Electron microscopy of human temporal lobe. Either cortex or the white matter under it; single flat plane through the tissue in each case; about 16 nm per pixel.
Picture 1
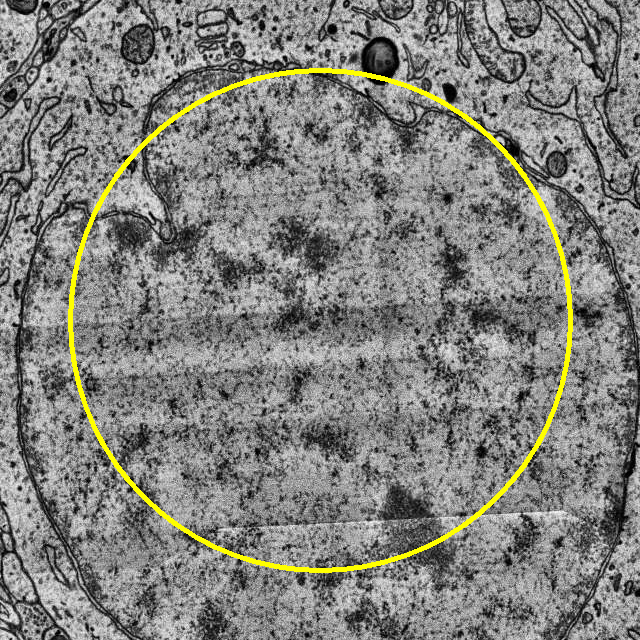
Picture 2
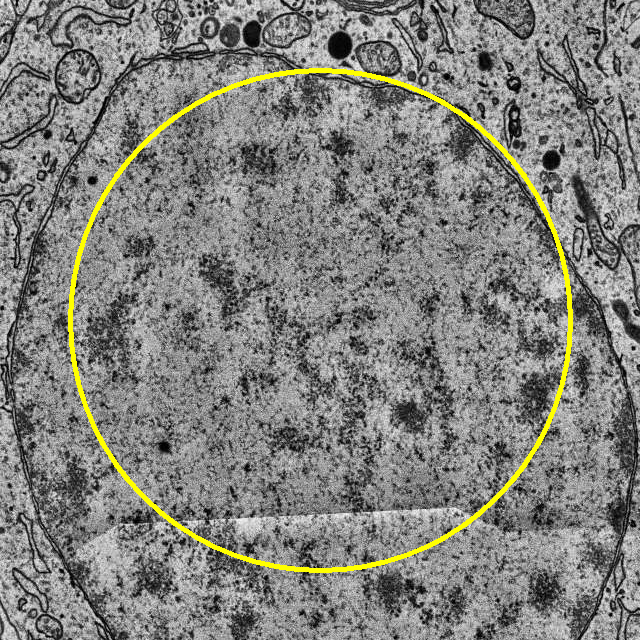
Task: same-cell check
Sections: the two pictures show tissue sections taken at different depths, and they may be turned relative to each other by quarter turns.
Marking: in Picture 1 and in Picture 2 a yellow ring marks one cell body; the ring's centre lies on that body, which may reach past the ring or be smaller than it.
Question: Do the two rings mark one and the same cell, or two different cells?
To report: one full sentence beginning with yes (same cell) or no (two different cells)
Yes, the marked cell is the same in both rings.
